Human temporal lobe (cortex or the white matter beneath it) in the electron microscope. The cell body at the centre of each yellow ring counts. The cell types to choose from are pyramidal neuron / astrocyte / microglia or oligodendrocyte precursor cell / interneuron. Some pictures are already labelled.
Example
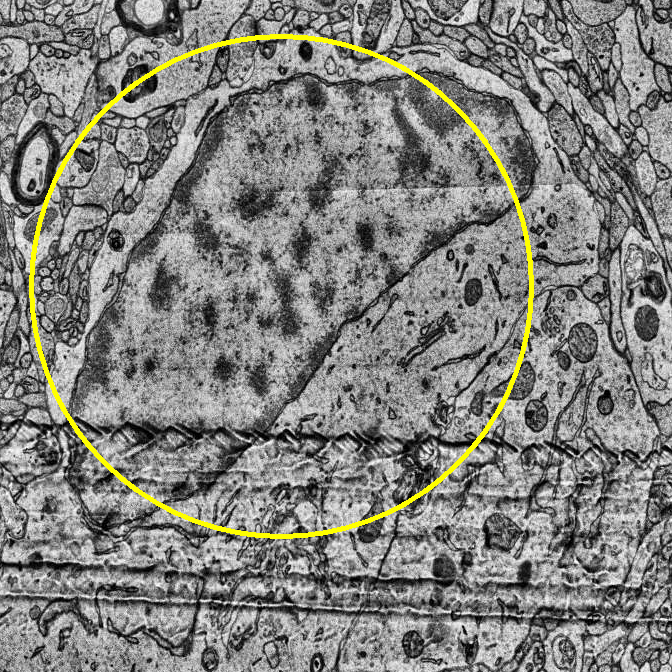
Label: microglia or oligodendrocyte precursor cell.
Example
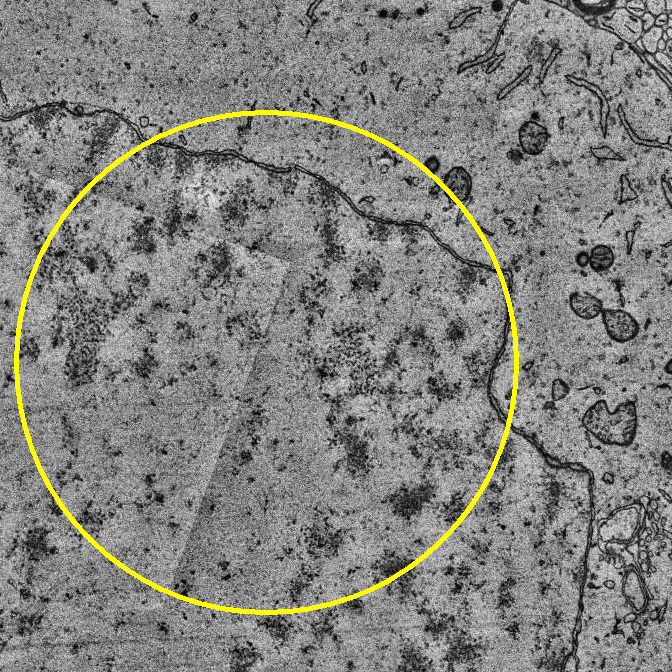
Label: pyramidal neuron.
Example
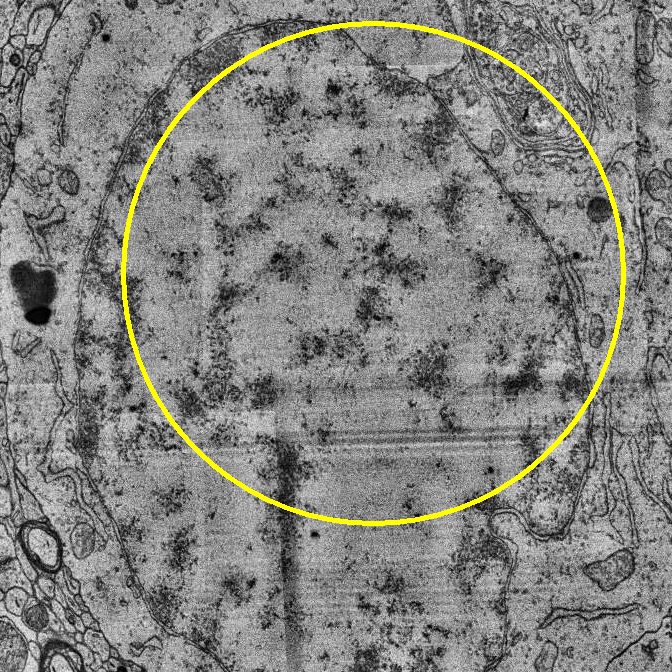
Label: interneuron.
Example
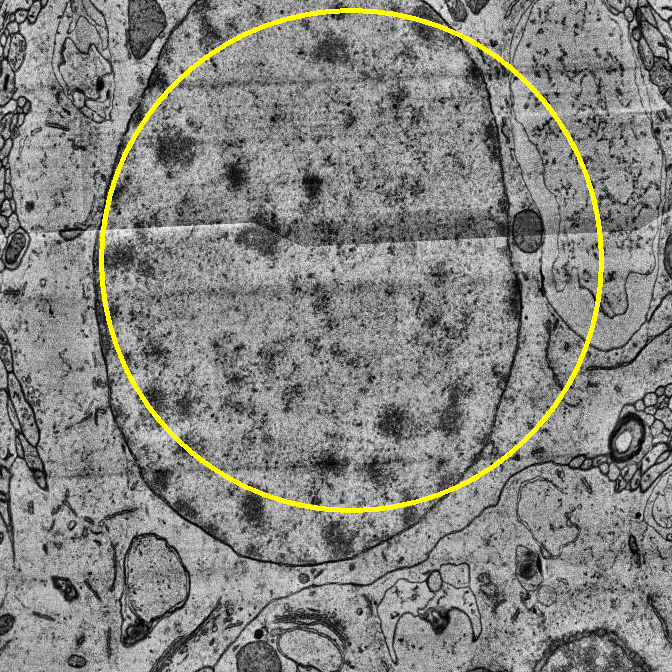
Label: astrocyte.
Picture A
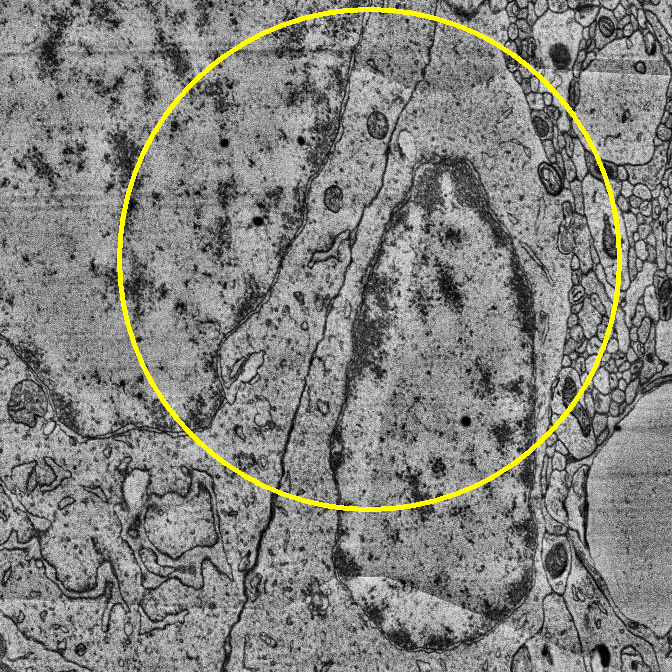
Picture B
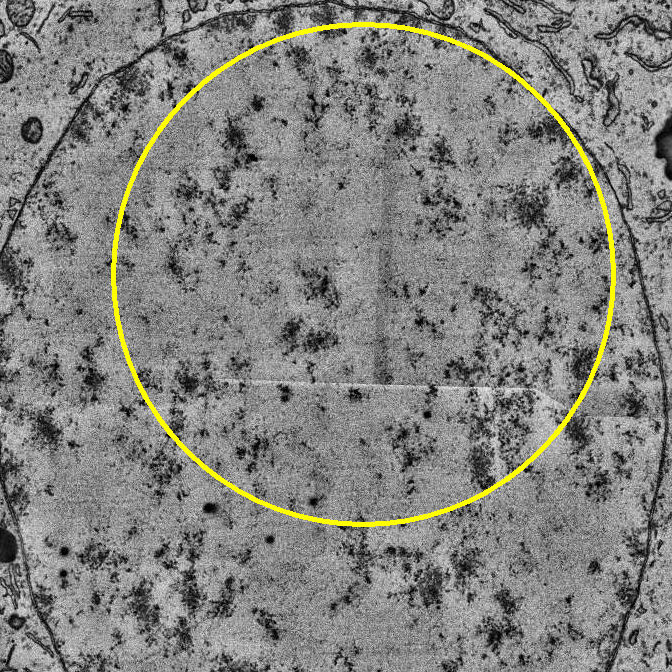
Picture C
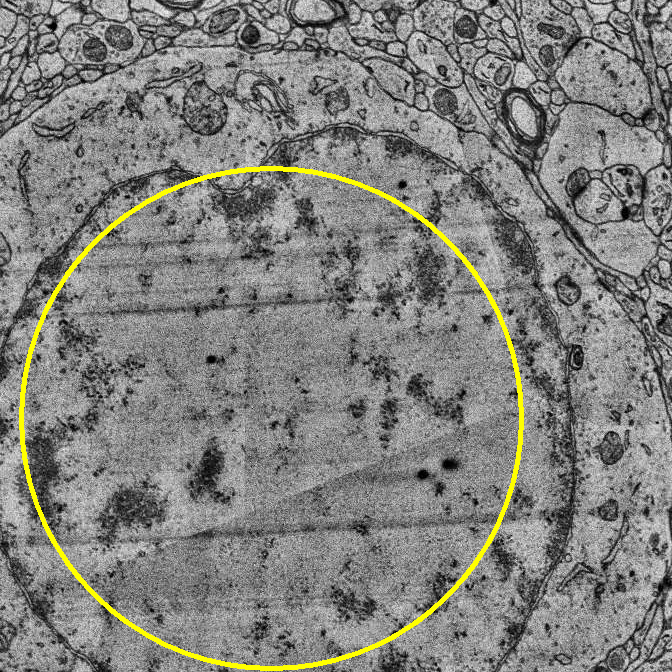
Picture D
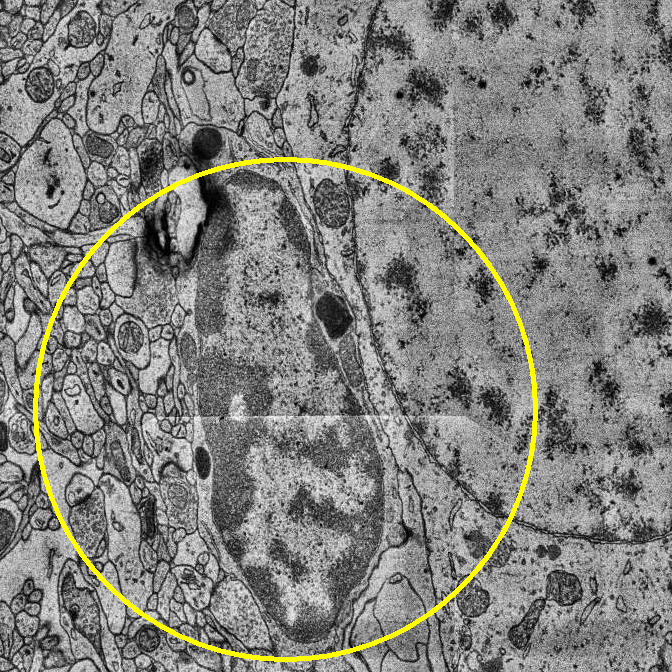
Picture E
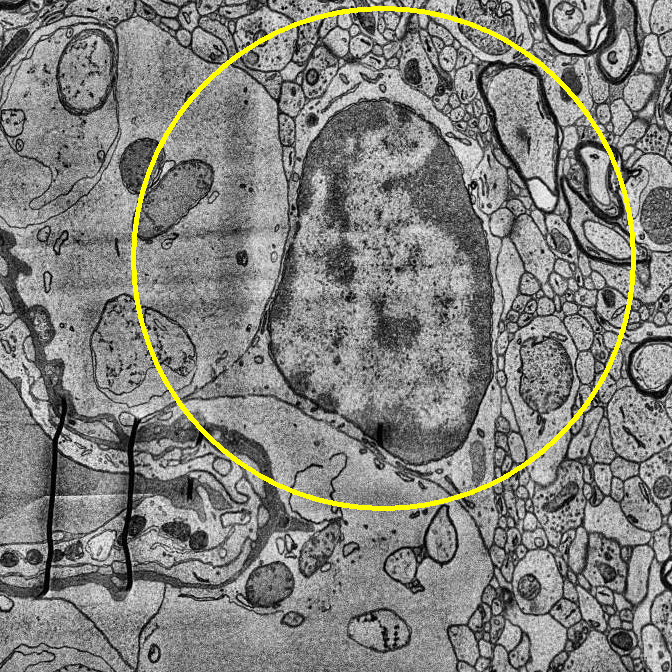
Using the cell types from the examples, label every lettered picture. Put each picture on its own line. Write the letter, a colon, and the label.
A: microglia or oligodendrocyte precursor cell.
B: pyramidal neuron.
C: interneuron.
D: microglia or oligodendrocyte precursor cell.
E: microglia or oligodendrocyte precursor cell.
